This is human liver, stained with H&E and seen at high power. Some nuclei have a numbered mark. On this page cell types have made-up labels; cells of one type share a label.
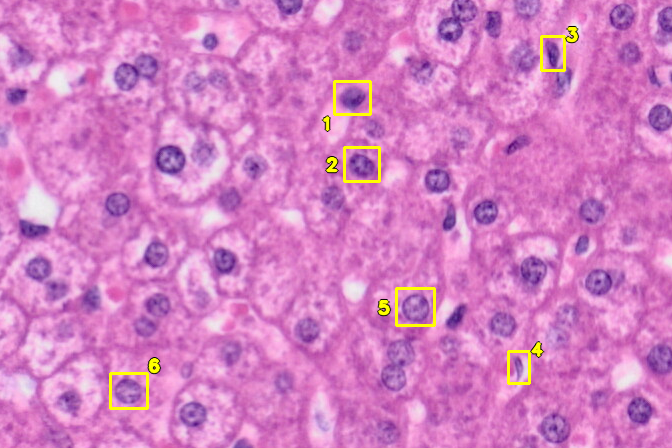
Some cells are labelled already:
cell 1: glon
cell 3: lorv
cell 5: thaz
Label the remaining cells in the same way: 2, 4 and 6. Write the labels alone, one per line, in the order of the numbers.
thaz
glon
thaz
